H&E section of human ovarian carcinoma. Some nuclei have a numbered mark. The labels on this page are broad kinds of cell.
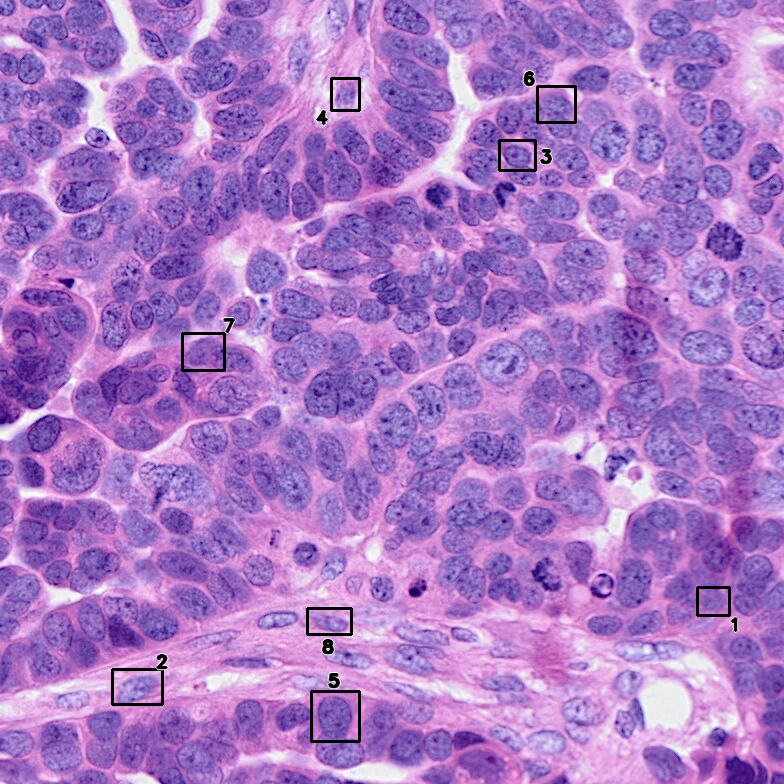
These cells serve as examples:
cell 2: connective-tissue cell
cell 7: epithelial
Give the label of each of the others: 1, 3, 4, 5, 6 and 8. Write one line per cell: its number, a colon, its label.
1: epithelial
3: epithelial
4: connective-tissue cell
5: epithelial
6: epithelial
8: connective-tissue cell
